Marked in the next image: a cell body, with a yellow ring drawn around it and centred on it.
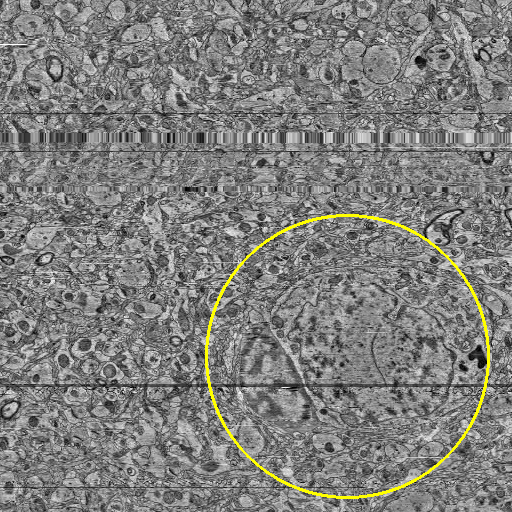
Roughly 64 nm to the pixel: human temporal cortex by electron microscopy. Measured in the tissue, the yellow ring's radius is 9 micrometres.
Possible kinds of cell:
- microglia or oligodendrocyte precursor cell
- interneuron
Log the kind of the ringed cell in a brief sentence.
The ringed cell body is that of an interneuron.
